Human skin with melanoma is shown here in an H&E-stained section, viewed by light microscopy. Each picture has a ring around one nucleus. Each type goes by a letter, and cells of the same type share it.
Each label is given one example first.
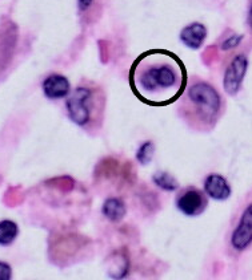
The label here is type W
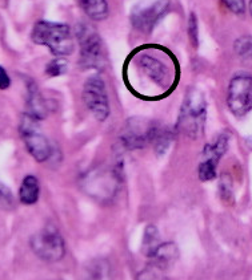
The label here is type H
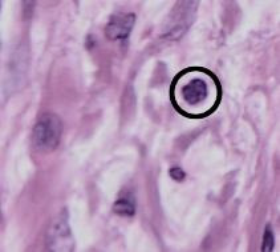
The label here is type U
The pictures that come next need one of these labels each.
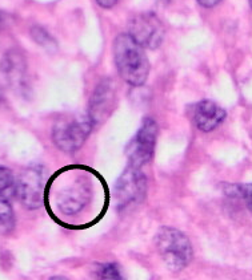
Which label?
type H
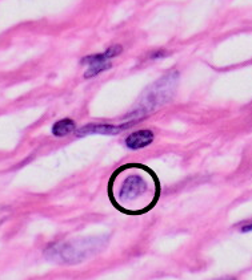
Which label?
type U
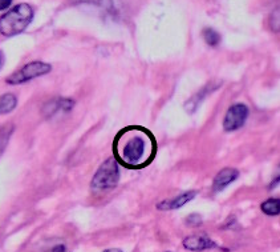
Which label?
type U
